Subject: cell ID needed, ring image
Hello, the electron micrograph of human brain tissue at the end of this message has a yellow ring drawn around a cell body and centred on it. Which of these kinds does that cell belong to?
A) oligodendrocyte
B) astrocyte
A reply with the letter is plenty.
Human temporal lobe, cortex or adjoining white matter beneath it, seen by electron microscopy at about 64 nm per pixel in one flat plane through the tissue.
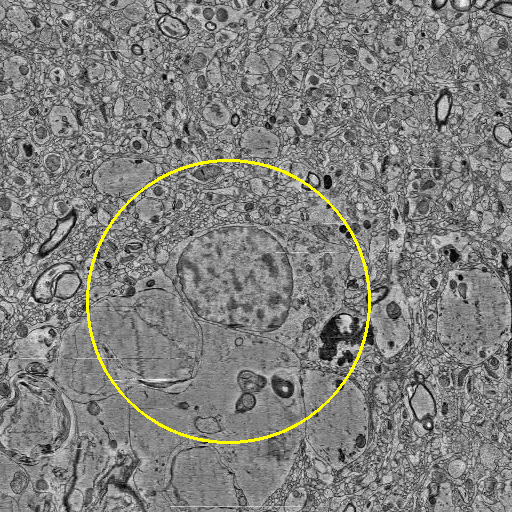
A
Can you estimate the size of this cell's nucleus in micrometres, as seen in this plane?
In this plane the ringed cell's nucleus is roughly 7 micrometres across.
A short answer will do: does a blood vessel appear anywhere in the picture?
Yes, a blood vessel can be seen.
